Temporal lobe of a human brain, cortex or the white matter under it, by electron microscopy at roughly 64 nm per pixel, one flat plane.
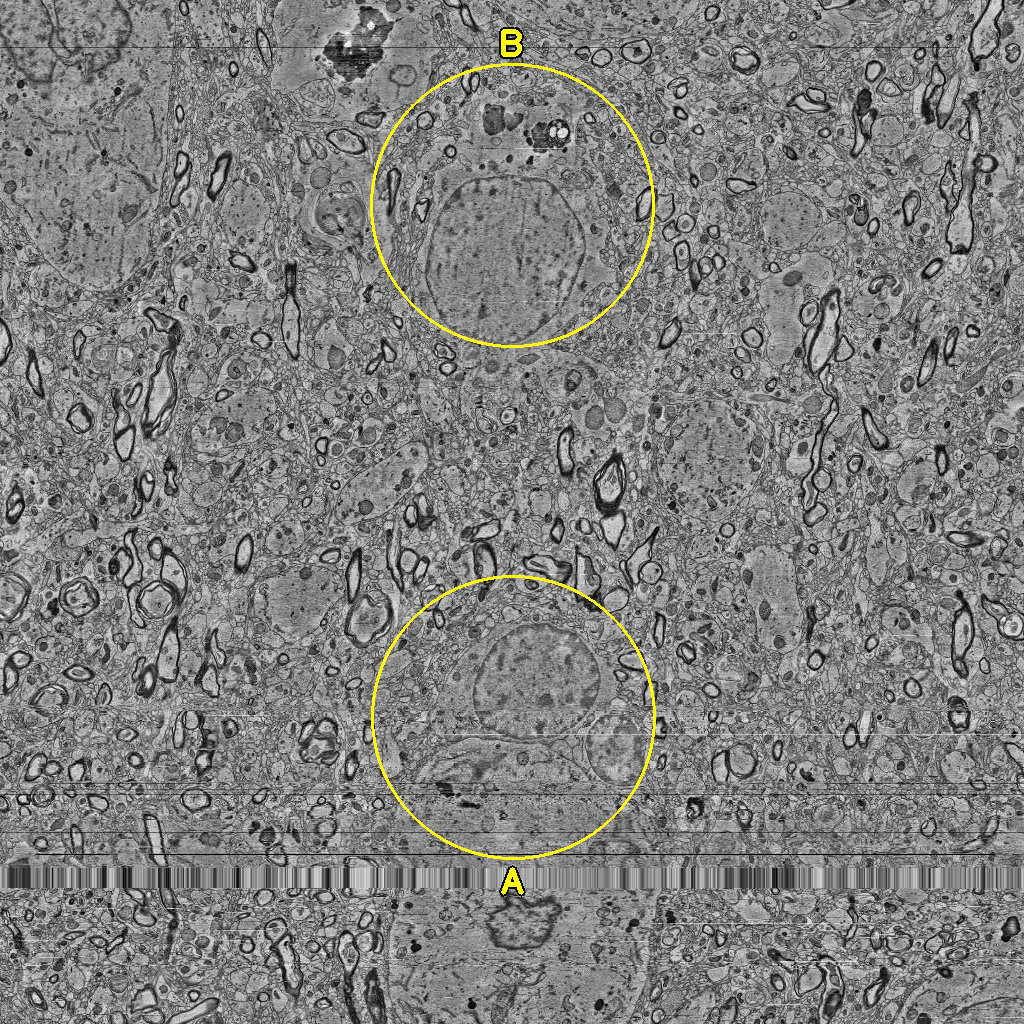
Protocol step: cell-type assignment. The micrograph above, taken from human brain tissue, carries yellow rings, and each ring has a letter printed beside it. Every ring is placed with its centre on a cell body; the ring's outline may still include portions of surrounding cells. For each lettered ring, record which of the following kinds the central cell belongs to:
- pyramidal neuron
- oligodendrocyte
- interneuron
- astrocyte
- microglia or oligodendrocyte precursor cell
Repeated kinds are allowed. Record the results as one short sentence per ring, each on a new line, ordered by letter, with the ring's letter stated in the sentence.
In ring A, the central cell is an oligodendrocyte.
In ring B, the central cell is an astrocyte.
